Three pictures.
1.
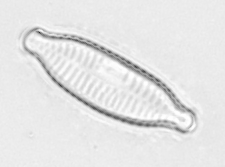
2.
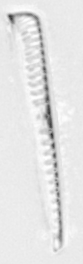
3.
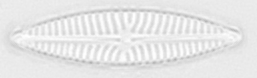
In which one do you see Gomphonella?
In picture 2.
